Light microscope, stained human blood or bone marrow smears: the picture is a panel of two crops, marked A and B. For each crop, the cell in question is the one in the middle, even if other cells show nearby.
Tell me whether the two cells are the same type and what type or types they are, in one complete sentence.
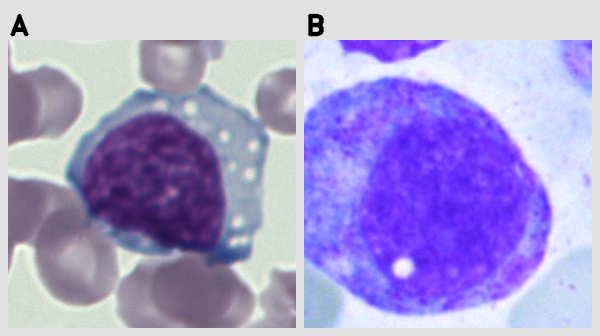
No, crop A is of a blast, and crop B is of a promyelocyte.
